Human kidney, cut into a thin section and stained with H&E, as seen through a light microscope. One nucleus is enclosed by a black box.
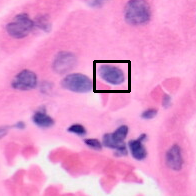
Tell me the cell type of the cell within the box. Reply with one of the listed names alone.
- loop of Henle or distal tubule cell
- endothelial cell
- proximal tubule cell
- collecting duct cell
endothelial cell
